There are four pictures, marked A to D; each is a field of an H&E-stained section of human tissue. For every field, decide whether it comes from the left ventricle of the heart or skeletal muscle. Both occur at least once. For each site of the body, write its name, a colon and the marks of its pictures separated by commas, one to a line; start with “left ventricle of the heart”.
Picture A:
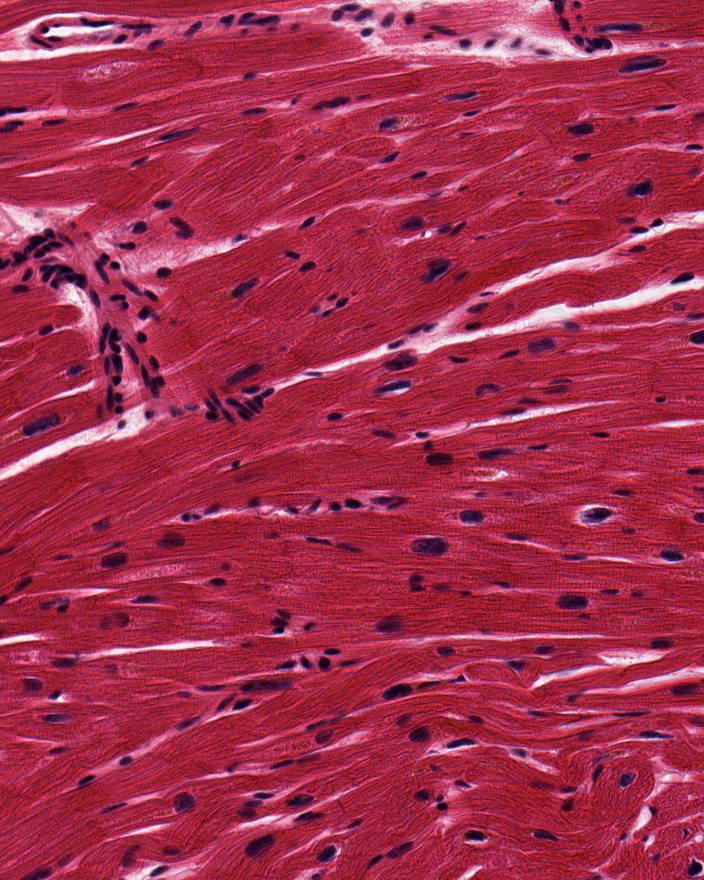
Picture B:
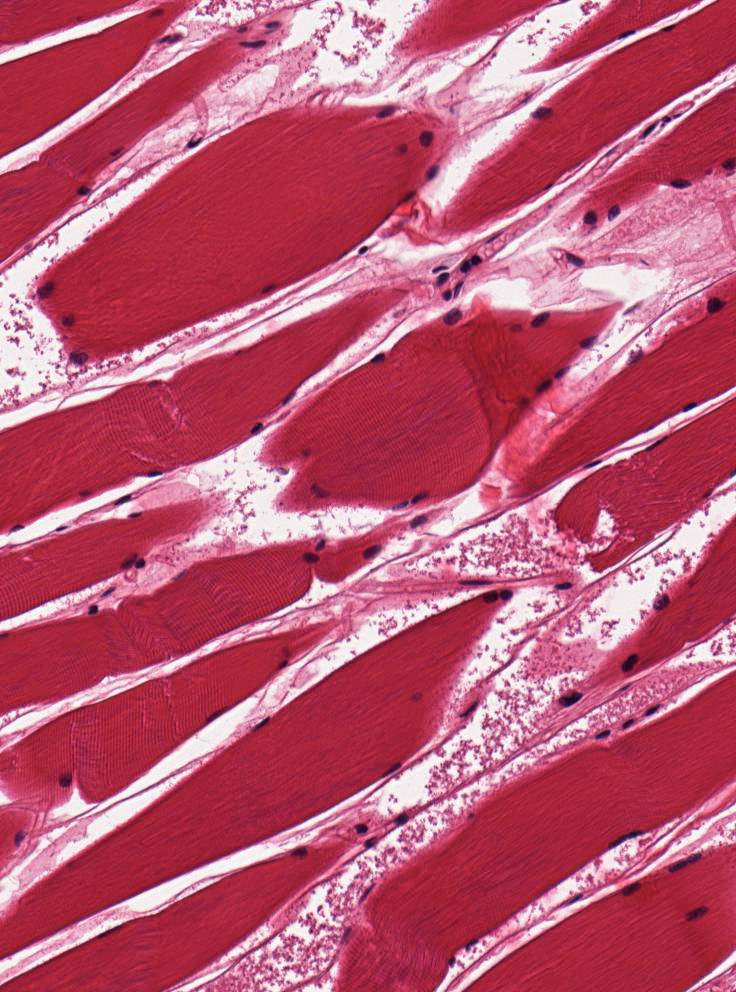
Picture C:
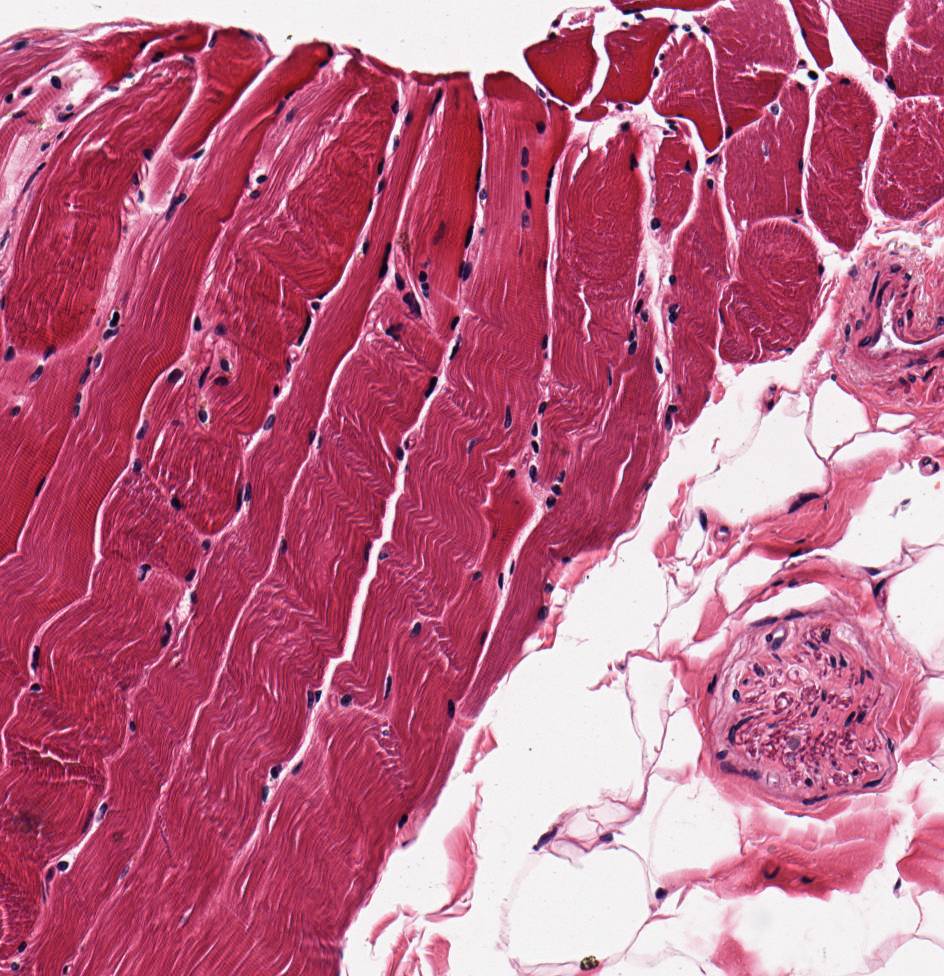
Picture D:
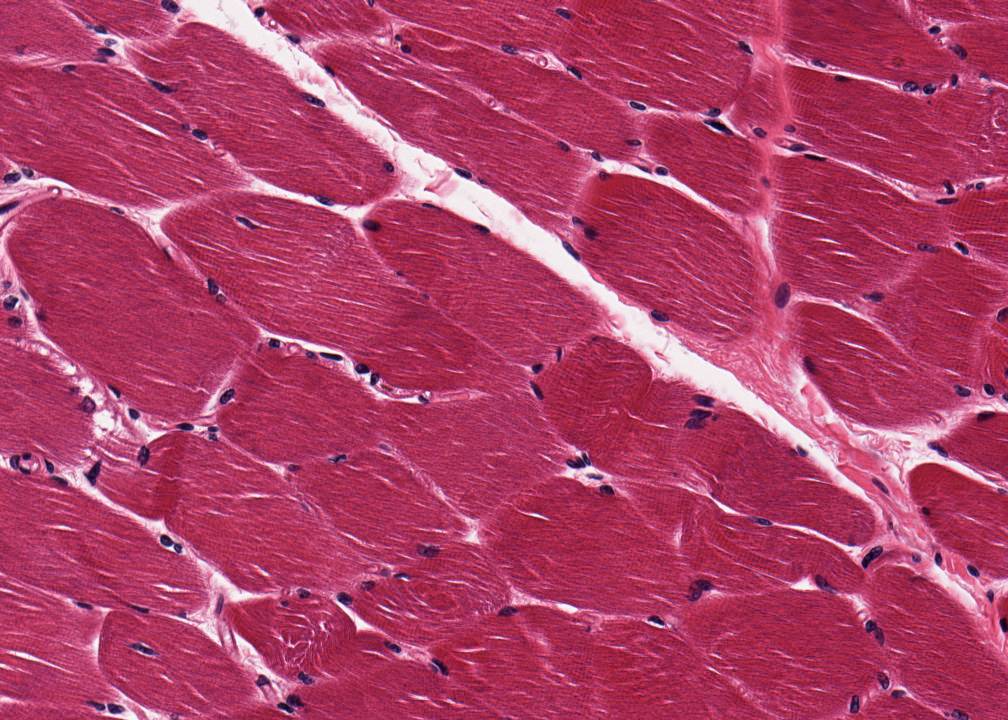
left ventricle of the heart: A
skeletal muscle: B, C, D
